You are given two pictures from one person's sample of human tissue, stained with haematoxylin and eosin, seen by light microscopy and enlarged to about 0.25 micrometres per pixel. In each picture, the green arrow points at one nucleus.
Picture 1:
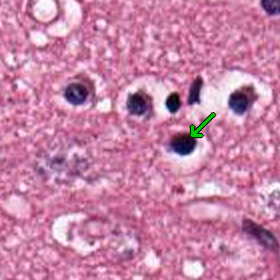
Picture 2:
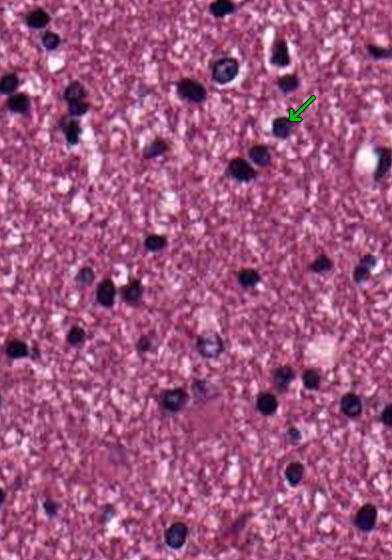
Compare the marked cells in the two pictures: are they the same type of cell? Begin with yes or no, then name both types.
Yes, both are oligodendrocytes.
